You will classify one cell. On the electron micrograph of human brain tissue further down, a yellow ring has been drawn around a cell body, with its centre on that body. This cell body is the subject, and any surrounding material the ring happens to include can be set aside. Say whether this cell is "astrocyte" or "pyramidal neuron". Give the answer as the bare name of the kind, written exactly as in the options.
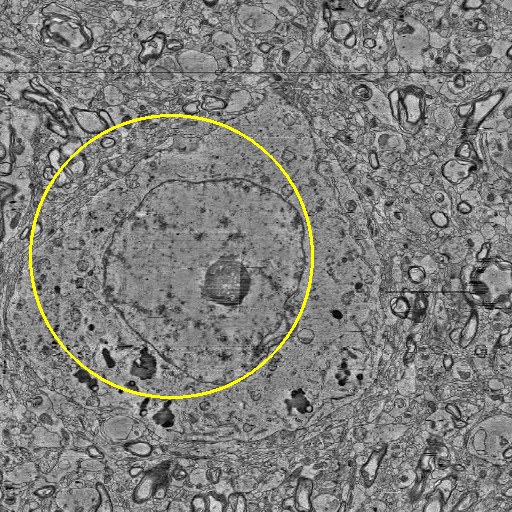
pyramidal neuron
